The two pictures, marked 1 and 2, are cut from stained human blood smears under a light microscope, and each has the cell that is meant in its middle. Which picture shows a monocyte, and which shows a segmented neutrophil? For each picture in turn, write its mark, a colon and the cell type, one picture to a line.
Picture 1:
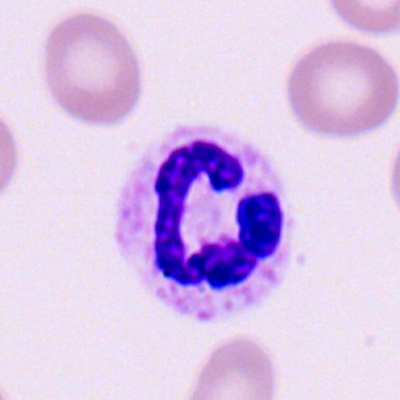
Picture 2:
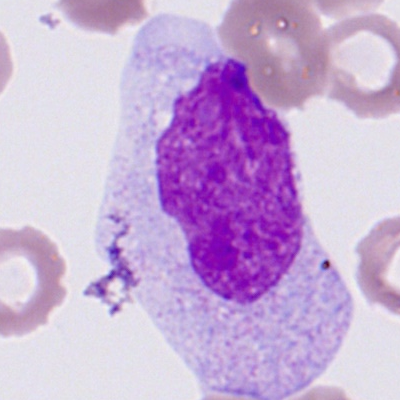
1: segmented neutrophil
2: monocyte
